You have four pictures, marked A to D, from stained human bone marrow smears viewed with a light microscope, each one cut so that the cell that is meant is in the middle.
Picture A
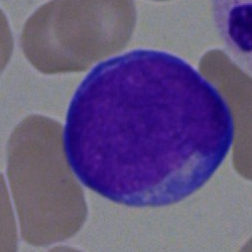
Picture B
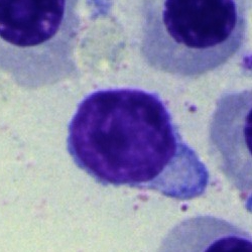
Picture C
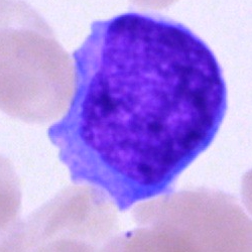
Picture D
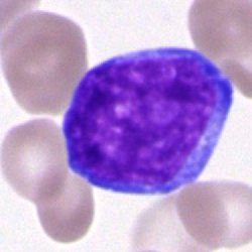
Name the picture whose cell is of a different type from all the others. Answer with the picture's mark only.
B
